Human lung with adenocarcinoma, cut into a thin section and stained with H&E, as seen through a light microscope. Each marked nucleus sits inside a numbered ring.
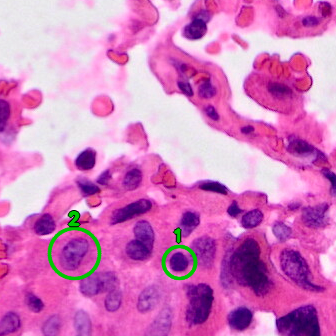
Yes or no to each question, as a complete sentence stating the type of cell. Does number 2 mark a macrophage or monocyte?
Yes, the cell sitting at number 2 is a macrophage or monocyte.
